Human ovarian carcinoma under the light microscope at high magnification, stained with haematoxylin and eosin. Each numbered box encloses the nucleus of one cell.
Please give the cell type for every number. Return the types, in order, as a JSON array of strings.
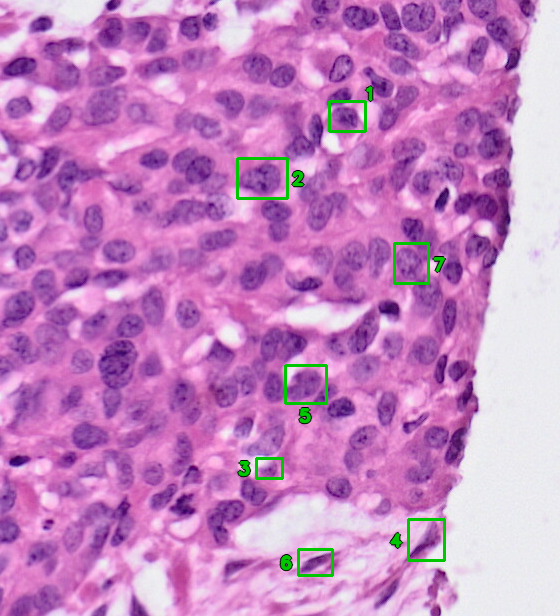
["macrophage or monocyte", "carcinoma cell", "macrophage or monocyte", "fibroblast", "carcinoma cell", "fibroblast", "carcinoma cell"]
